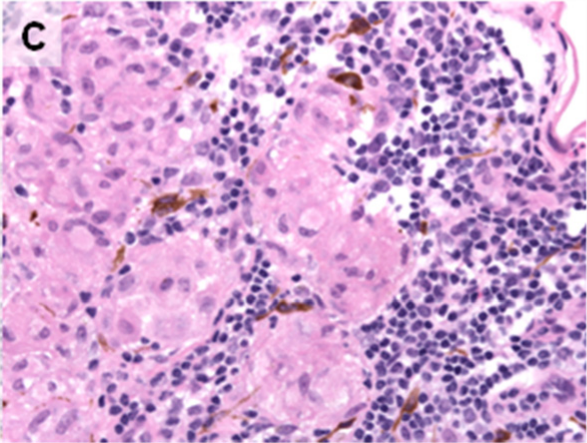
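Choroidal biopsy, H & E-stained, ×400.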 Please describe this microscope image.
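Rounded, well circumscribed clusters of large cells with plentiful pale pink cytoplasm and oval, pale, vesicular nuclei sit among sheets of small round cells with dark nuclei and little cytoplasm. The large cells are histiocytes forming granulomas, and the small cells crowding around them are lymphocytes. No necrotic centre is seen within the clusters. Scattered elongated cells filled with brown pigment lie between them.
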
